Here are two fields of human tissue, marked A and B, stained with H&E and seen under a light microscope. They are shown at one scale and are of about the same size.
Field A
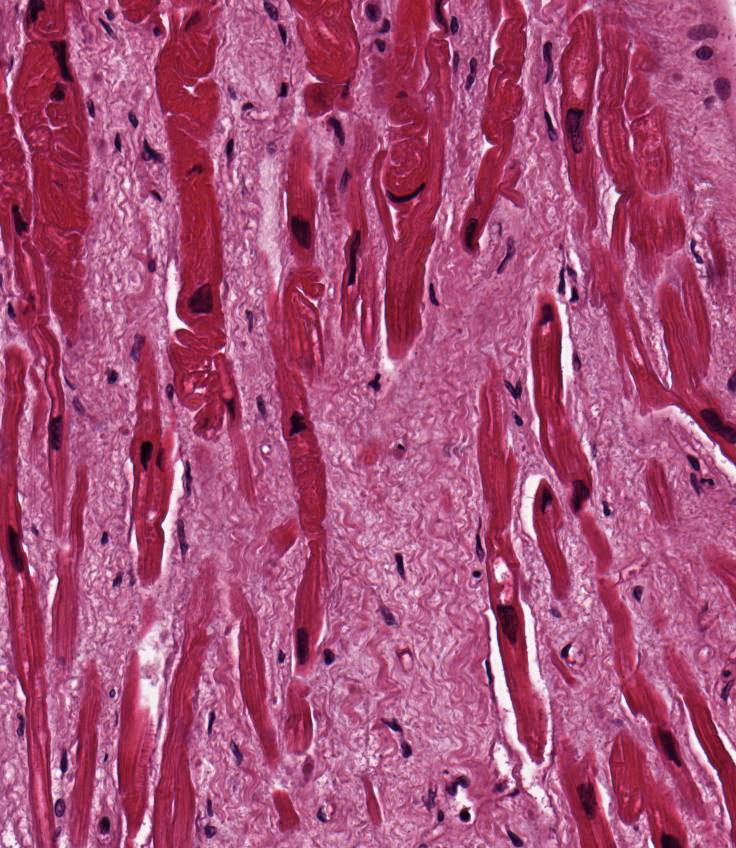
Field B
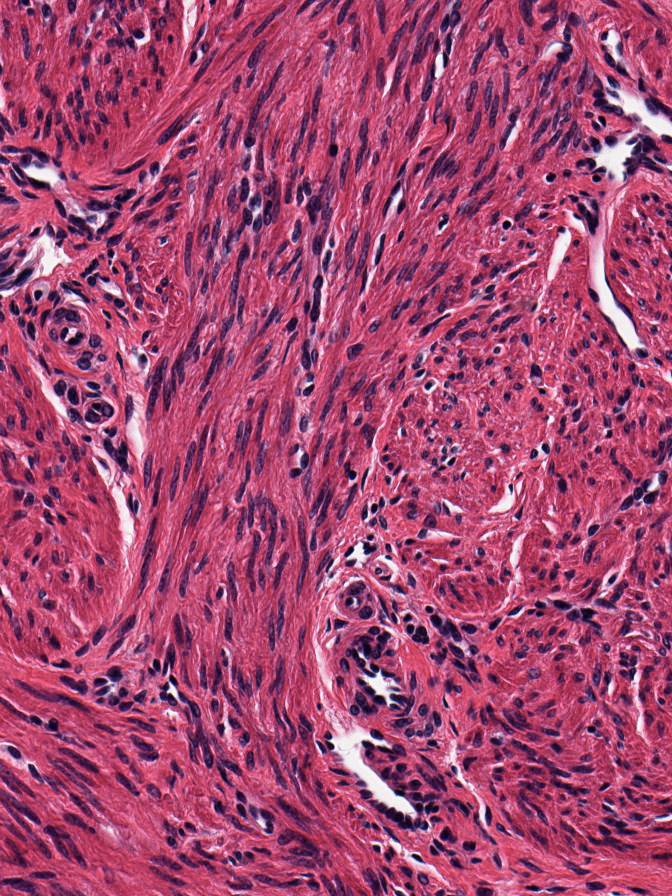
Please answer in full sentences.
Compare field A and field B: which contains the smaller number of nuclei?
It is field A that has fewer nuclei in it.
